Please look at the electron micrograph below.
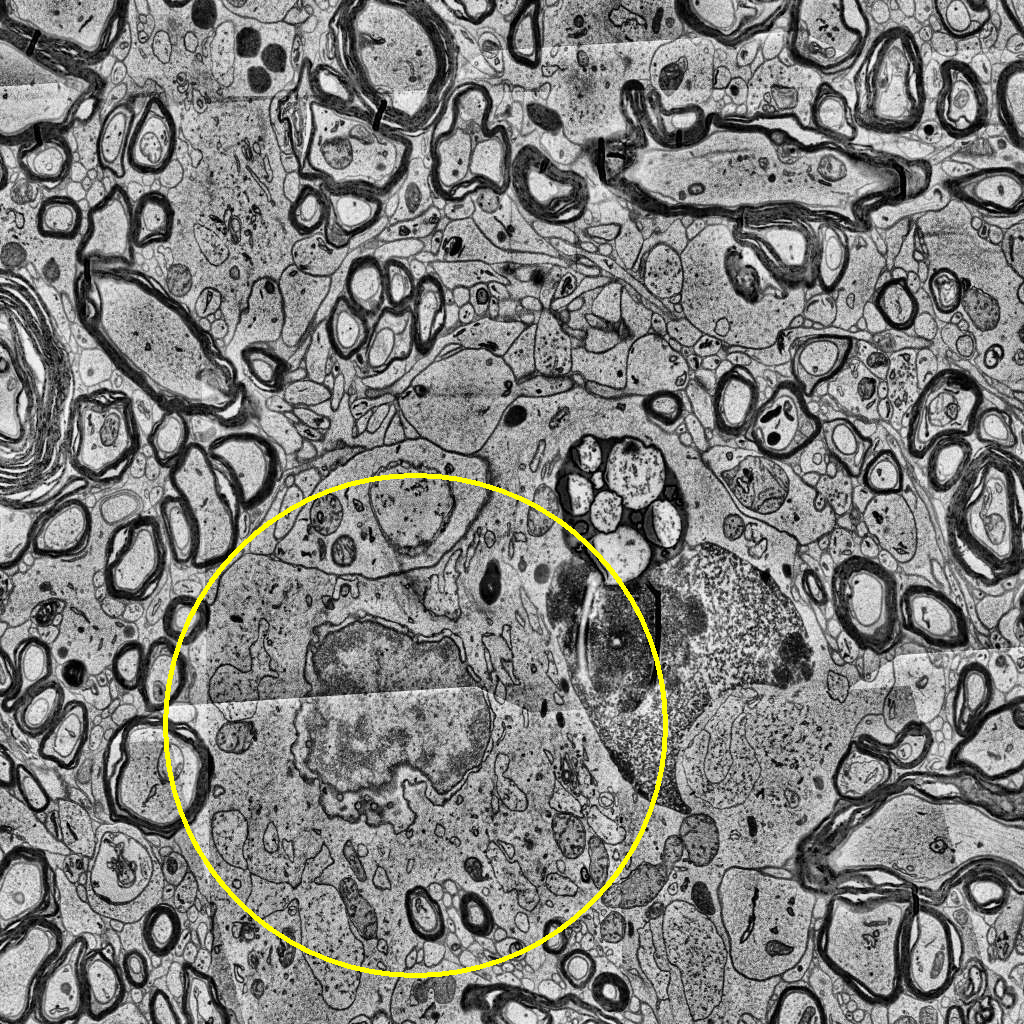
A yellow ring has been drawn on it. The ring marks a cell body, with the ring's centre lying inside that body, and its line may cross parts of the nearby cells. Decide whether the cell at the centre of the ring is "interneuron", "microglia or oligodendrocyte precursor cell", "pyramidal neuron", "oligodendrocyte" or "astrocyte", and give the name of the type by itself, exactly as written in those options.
astrocyte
